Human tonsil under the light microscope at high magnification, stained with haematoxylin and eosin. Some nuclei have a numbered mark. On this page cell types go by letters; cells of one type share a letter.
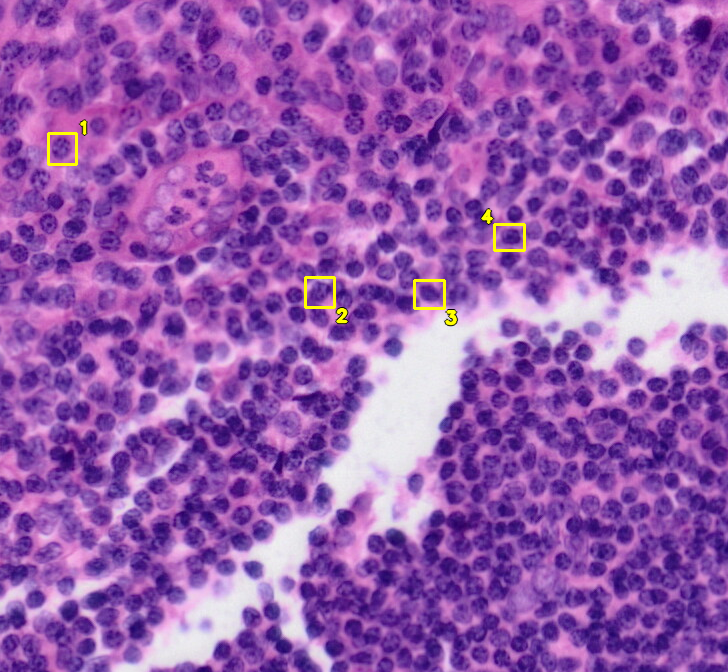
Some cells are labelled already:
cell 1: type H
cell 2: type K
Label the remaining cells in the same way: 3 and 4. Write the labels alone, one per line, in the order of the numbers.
type K
type K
